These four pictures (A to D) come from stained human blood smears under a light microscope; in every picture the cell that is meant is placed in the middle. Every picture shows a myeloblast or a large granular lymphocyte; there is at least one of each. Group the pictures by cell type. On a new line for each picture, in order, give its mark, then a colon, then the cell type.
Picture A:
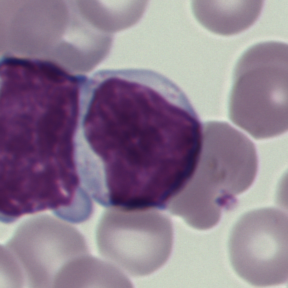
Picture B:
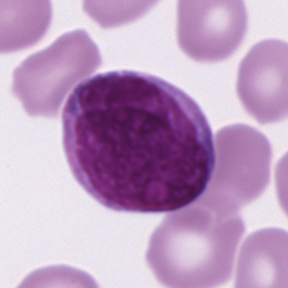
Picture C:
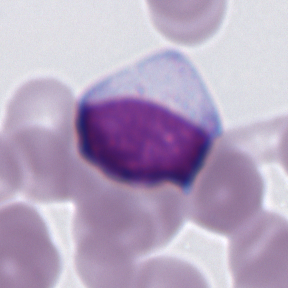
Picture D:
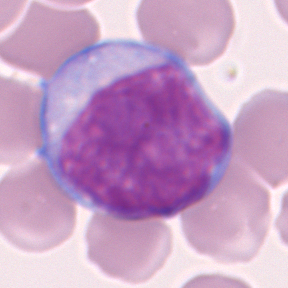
A: large granular lymphocyte
B: myeloblast
C: large granular lymphocyte
D: myeloblast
